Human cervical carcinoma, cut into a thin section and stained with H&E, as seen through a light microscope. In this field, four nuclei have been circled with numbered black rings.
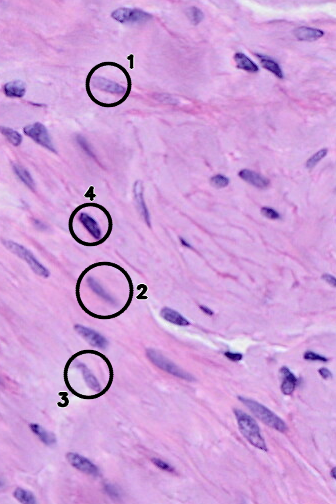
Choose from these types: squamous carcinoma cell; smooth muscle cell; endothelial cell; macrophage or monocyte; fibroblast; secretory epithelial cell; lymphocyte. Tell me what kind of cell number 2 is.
fibroblast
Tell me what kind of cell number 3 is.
fibroblast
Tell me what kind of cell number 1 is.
smooth muscle cell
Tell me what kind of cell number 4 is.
lymphocyte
